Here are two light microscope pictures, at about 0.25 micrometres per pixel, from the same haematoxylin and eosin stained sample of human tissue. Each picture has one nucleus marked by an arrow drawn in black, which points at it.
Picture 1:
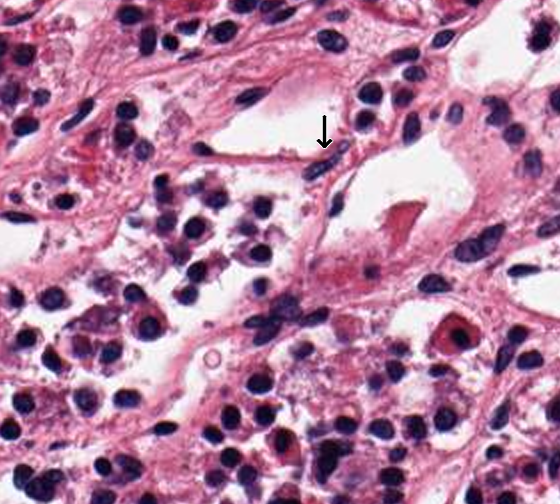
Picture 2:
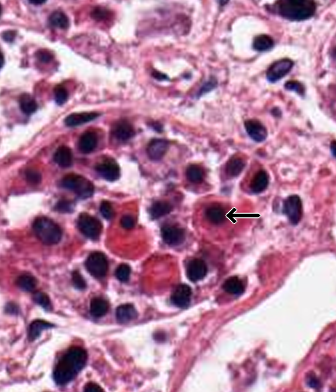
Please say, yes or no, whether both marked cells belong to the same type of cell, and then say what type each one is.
No, the first is an endothelial cell and the second an anterior pituitary cell.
